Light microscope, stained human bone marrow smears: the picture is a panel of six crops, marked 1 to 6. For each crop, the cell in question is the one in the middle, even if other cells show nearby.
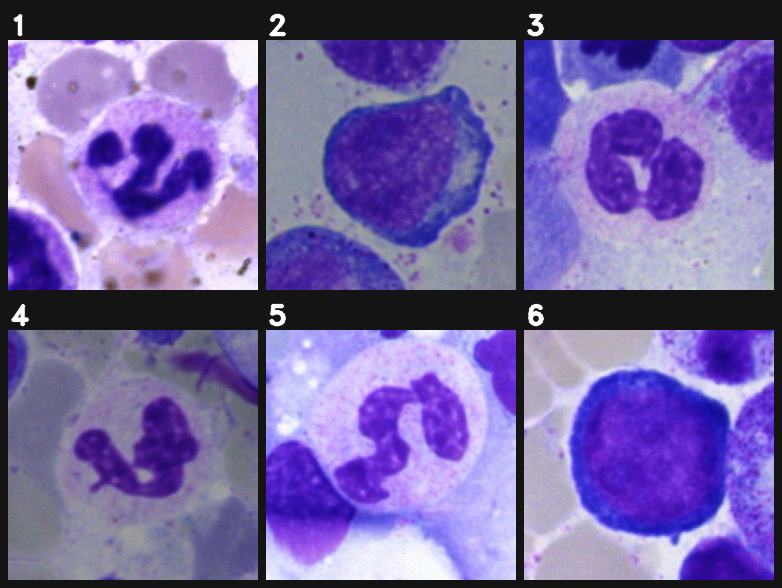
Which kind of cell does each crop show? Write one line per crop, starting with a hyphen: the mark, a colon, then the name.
- 1: segmented neutrophil
- 2: proerythroblast
- 3: segmented neutrophil
- 4: segmented neutrophil
- 5: segmented neutrophil
- 6: proerythroblast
